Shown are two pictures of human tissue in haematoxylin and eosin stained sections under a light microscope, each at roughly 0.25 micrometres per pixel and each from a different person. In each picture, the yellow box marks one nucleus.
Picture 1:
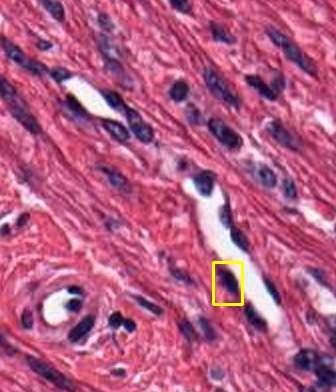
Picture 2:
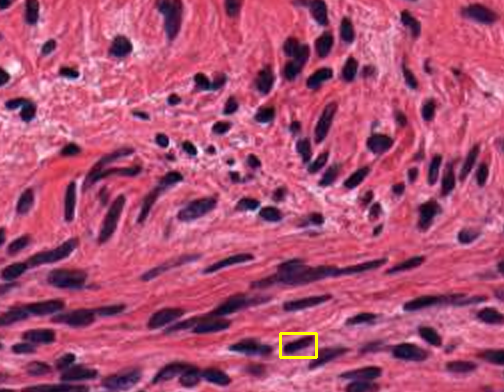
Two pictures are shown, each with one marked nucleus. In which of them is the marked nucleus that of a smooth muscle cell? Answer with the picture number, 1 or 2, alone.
2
